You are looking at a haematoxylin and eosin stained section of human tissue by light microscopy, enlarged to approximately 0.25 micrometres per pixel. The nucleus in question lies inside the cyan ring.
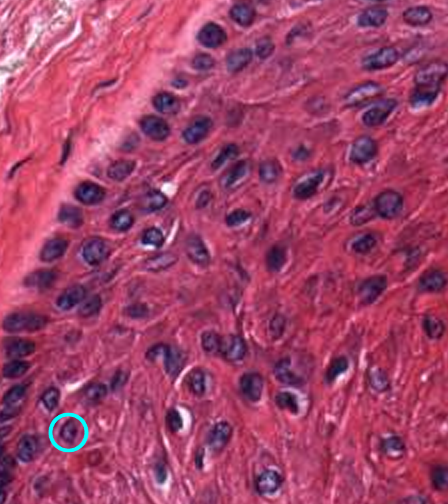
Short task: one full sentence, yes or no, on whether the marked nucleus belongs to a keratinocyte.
Yes, it is the nucleus of a keratinocyte that has been marked.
